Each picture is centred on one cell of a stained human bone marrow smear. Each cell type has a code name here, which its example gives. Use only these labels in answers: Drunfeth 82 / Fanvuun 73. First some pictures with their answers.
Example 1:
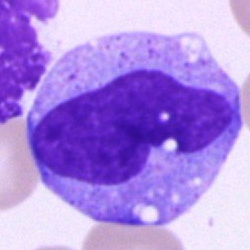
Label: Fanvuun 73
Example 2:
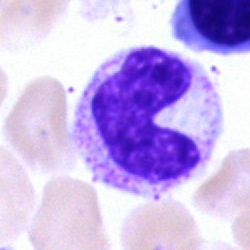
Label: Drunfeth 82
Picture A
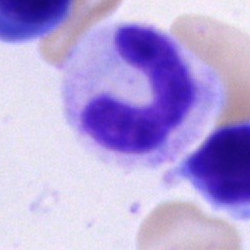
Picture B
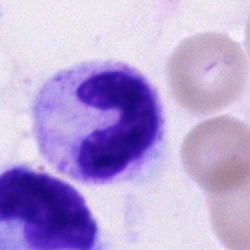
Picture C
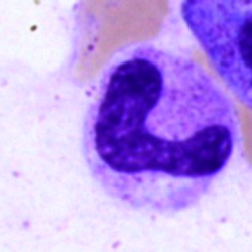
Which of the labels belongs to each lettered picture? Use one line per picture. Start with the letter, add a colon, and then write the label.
A: Drunfeth 82
B: Drunfeth 82
C: Drunfeth 82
